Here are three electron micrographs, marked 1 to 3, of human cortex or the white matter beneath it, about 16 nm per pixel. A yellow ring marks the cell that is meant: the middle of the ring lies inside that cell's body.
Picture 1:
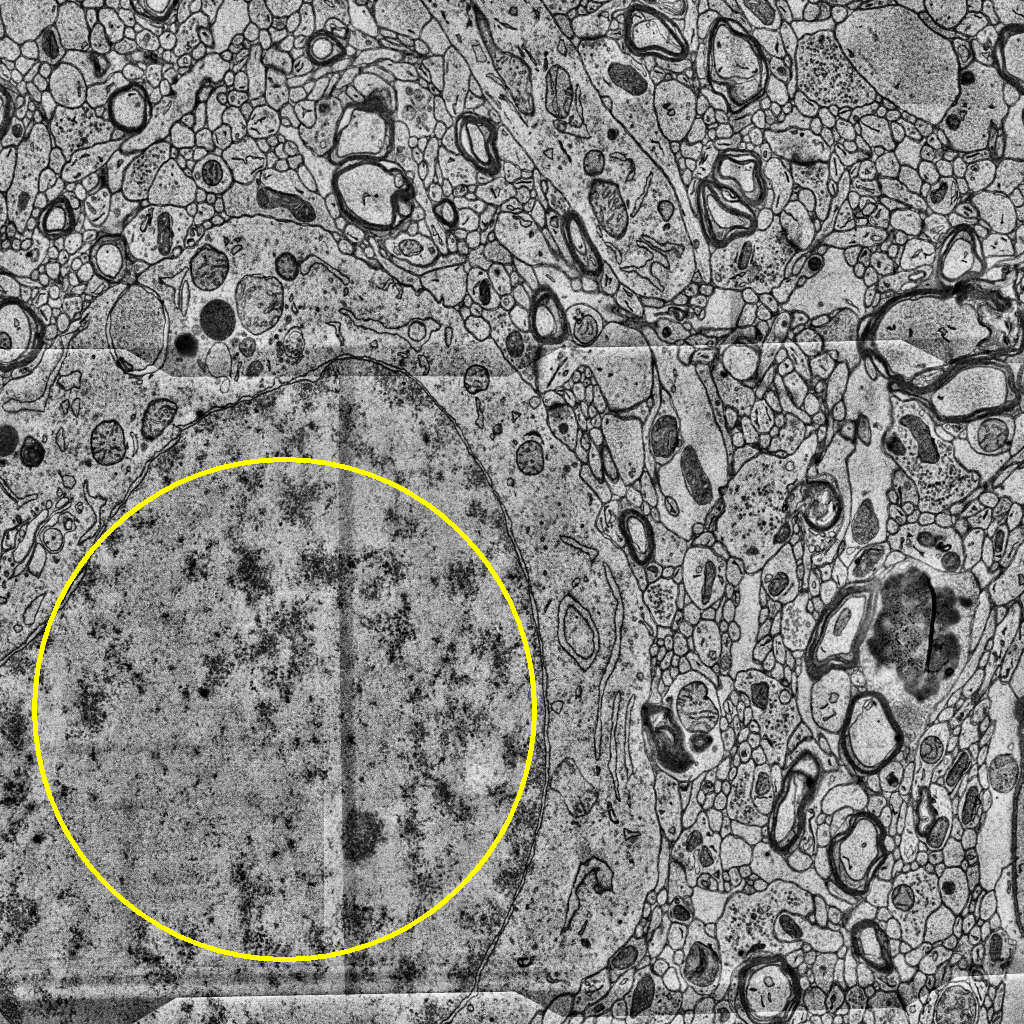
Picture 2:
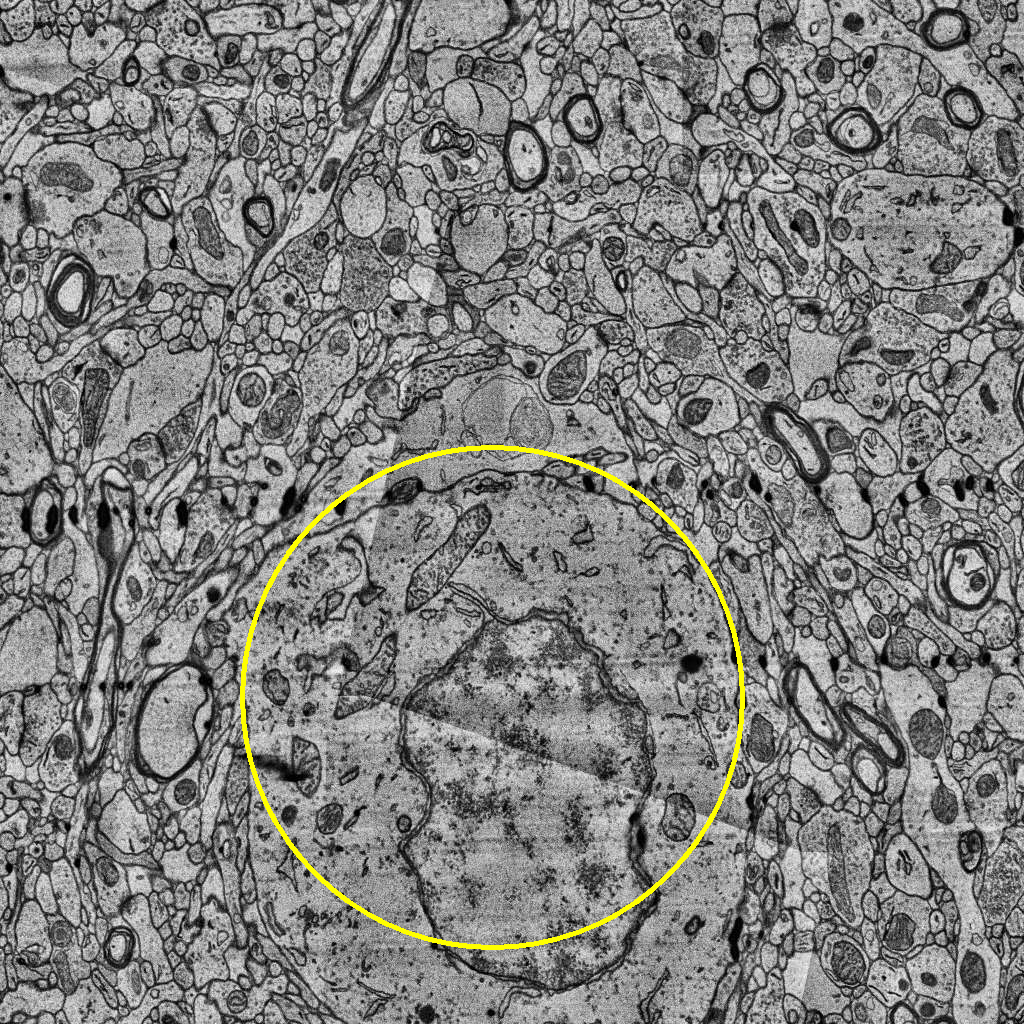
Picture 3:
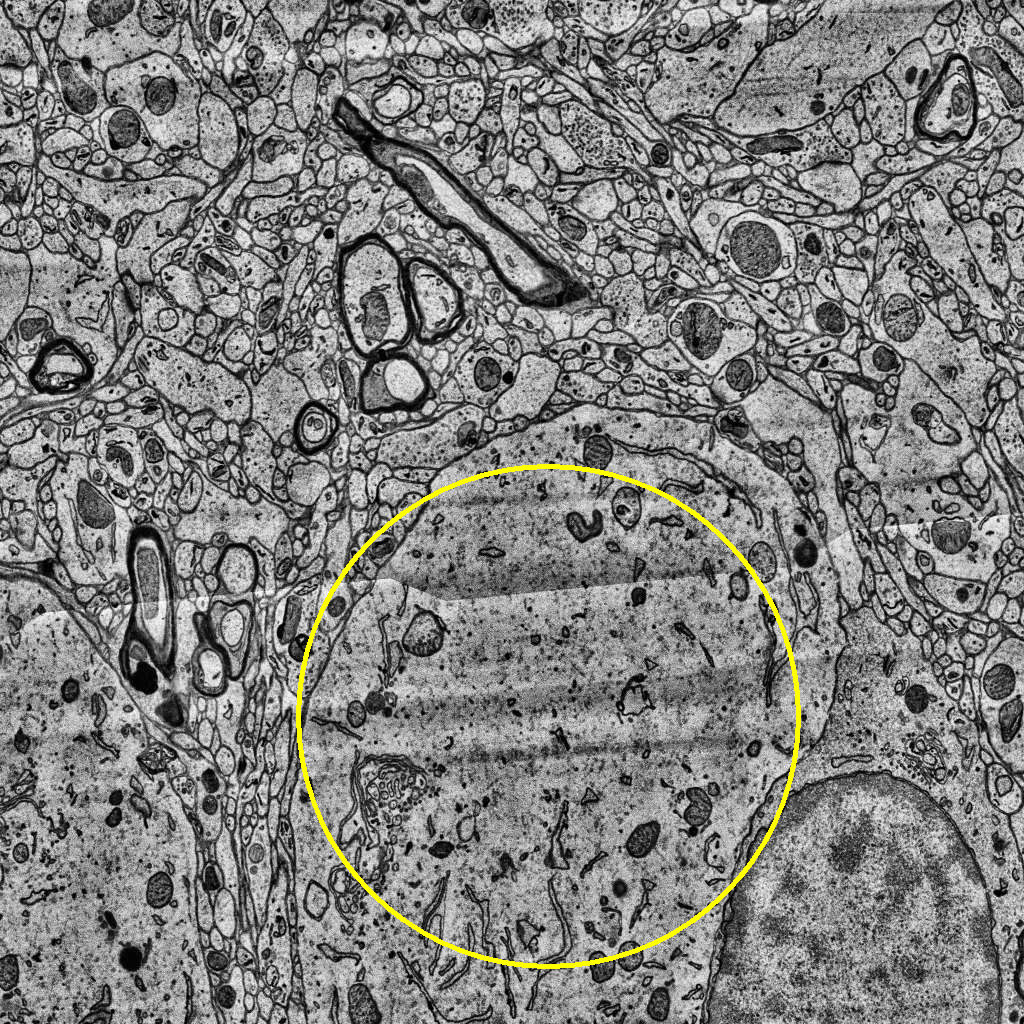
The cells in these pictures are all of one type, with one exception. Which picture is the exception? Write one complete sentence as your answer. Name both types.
The others show pyramidal neurons, but picture 1 shows an interneuron.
